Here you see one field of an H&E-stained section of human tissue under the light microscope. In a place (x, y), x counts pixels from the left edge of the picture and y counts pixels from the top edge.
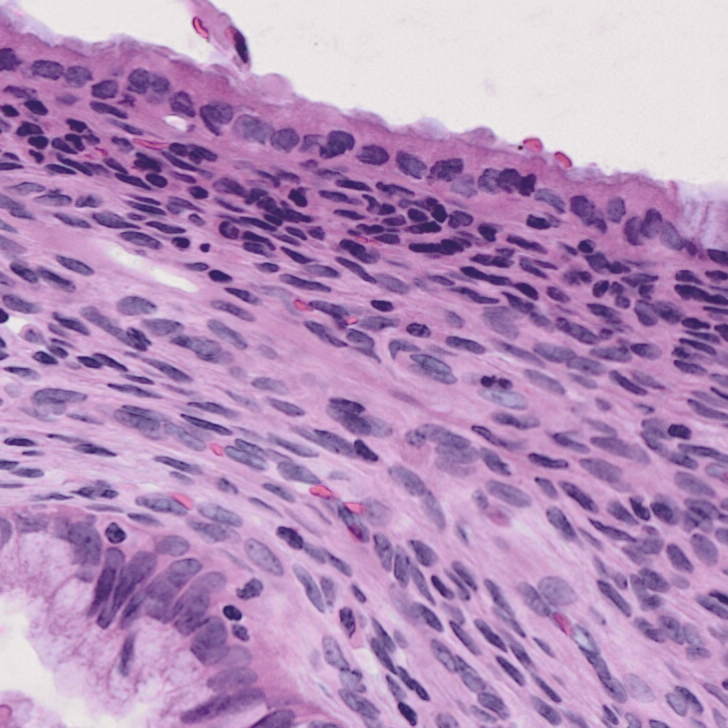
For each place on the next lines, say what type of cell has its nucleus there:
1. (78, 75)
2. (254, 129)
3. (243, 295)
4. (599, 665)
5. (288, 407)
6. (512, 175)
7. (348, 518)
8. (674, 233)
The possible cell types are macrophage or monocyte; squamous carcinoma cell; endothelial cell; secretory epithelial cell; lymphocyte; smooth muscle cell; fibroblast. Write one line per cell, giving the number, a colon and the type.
1: secretory epithelial cell
2: secretory epithelial cell
3: fibroblast
4: endothelial cell
5: fibroblast
6: secretory epithelial cell
7: endothelial cell
8: secretory epithelial cell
